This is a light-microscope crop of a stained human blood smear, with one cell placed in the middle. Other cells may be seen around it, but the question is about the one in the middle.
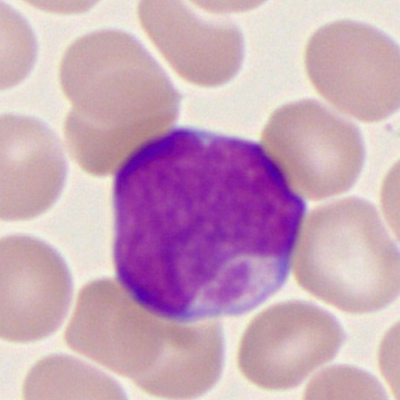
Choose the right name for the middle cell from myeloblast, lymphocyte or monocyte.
myeloblast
